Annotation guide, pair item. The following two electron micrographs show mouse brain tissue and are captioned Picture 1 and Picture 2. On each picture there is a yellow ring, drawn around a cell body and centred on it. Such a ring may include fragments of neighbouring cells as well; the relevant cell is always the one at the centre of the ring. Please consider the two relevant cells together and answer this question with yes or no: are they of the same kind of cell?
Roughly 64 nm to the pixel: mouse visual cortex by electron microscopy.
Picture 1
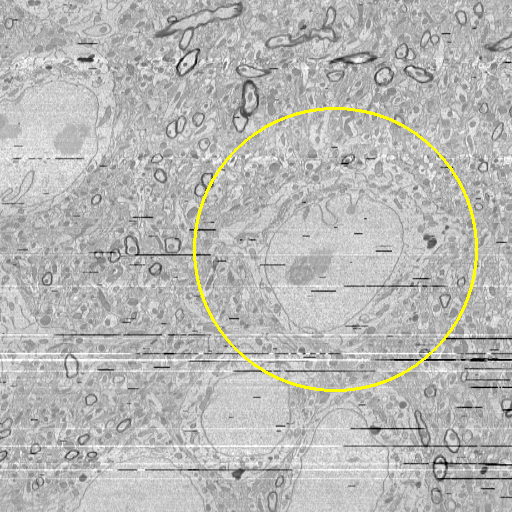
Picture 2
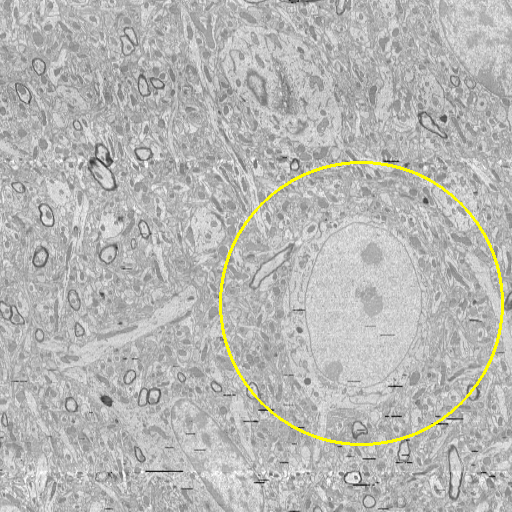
yes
